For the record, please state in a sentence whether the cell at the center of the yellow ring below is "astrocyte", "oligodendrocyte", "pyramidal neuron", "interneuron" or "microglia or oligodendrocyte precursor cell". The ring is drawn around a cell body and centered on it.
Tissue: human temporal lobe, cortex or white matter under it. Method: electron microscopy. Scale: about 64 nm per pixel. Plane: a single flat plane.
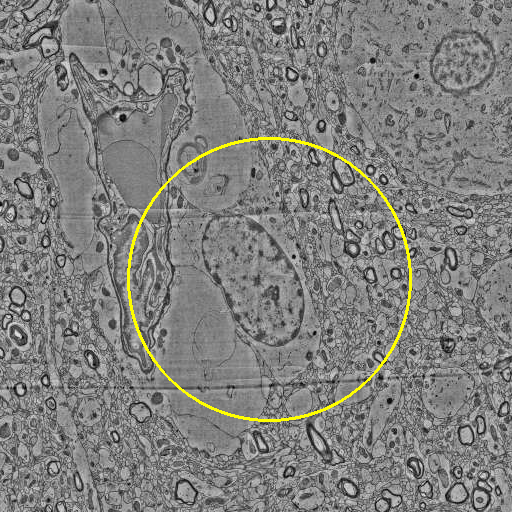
The cell at the ring's center is a microglial cell or oligodendrocyte precursor cell.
